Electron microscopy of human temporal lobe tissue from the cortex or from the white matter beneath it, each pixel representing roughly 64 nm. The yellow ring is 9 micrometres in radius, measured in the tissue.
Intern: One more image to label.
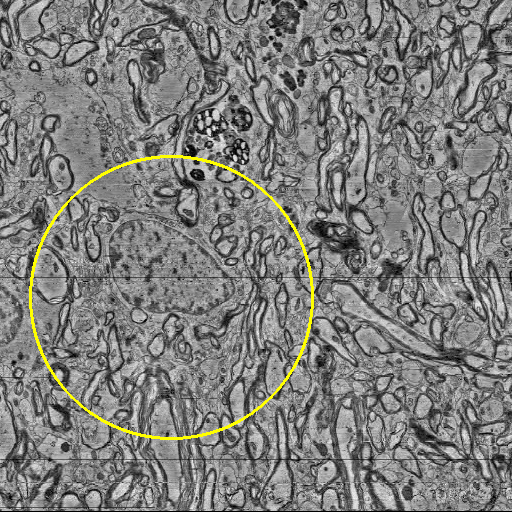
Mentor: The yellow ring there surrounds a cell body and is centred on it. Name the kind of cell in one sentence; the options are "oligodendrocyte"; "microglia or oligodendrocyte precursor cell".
The ring marks the cell body of a microglial cell or oligodendrocyte precursor cell.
